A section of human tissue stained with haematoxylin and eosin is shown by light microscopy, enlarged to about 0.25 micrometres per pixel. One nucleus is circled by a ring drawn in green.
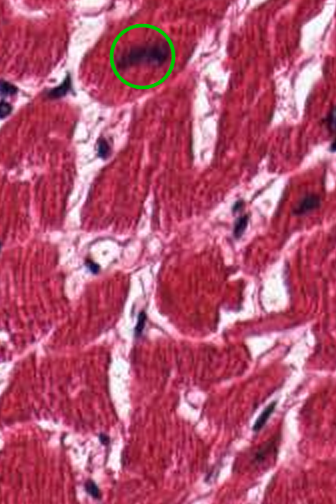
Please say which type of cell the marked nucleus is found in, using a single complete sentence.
The nucleus bearing the mark belongs to a cardiomyocyte.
